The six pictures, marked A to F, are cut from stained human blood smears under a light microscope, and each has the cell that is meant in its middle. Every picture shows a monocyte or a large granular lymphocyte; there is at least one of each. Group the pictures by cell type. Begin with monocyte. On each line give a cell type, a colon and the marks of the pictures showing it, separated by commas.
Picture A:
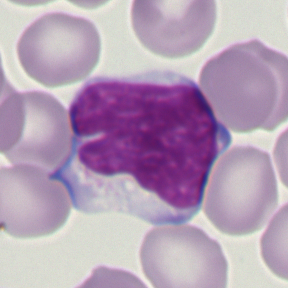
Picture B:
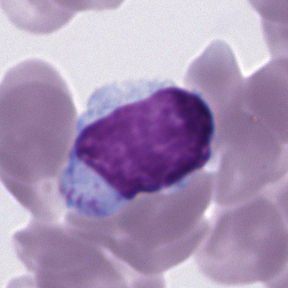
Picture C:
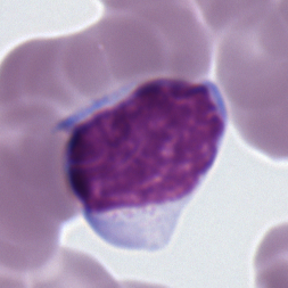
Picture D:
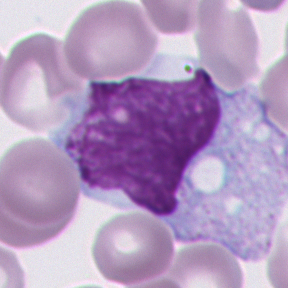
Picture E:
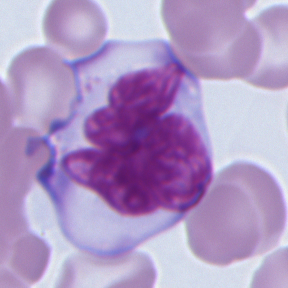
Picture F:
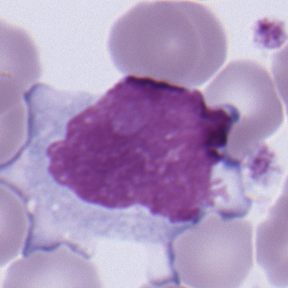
monocyte: D, F
large granular lymphocyte: A, B, C, E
